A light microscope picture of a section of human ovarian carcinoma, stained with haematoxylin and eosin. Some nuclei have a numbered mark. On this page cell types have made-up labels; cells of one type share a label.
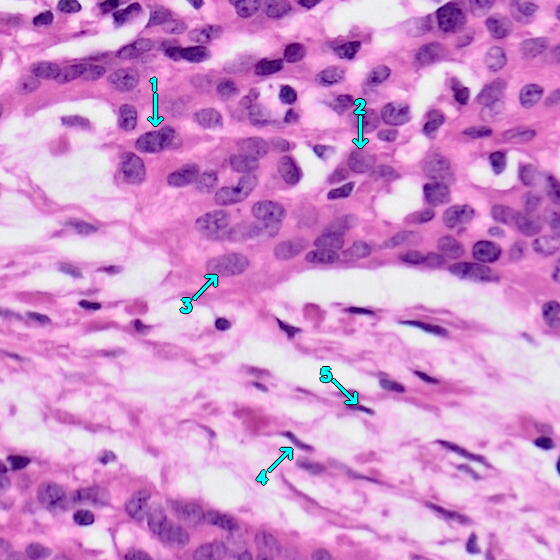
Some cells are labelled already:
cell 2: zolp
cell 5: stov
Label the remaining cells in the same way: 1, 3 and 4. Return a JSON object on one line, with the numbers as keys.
{"1": "zolp", "3": "zolp", "4": "stov"}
